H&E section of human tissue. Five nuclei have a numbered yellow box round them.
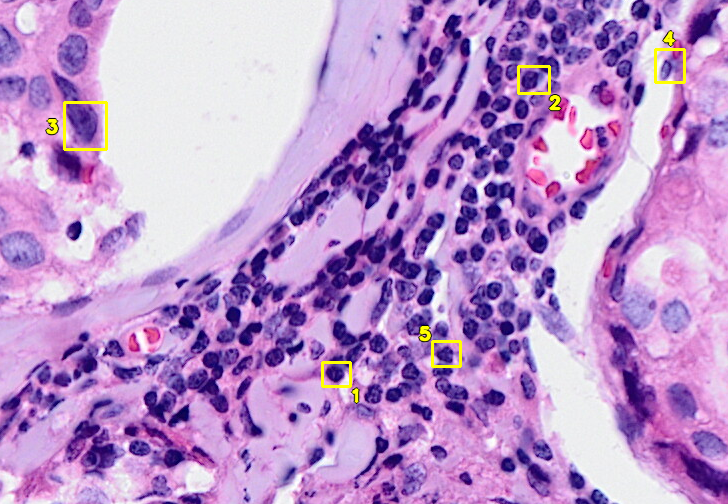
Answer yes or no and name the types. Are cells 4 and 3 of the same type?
No, cell 4 is an endothelial cell and cell 3 is a carcinoma cell.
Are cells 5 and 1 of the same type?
Yes, both are lymphocytes.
